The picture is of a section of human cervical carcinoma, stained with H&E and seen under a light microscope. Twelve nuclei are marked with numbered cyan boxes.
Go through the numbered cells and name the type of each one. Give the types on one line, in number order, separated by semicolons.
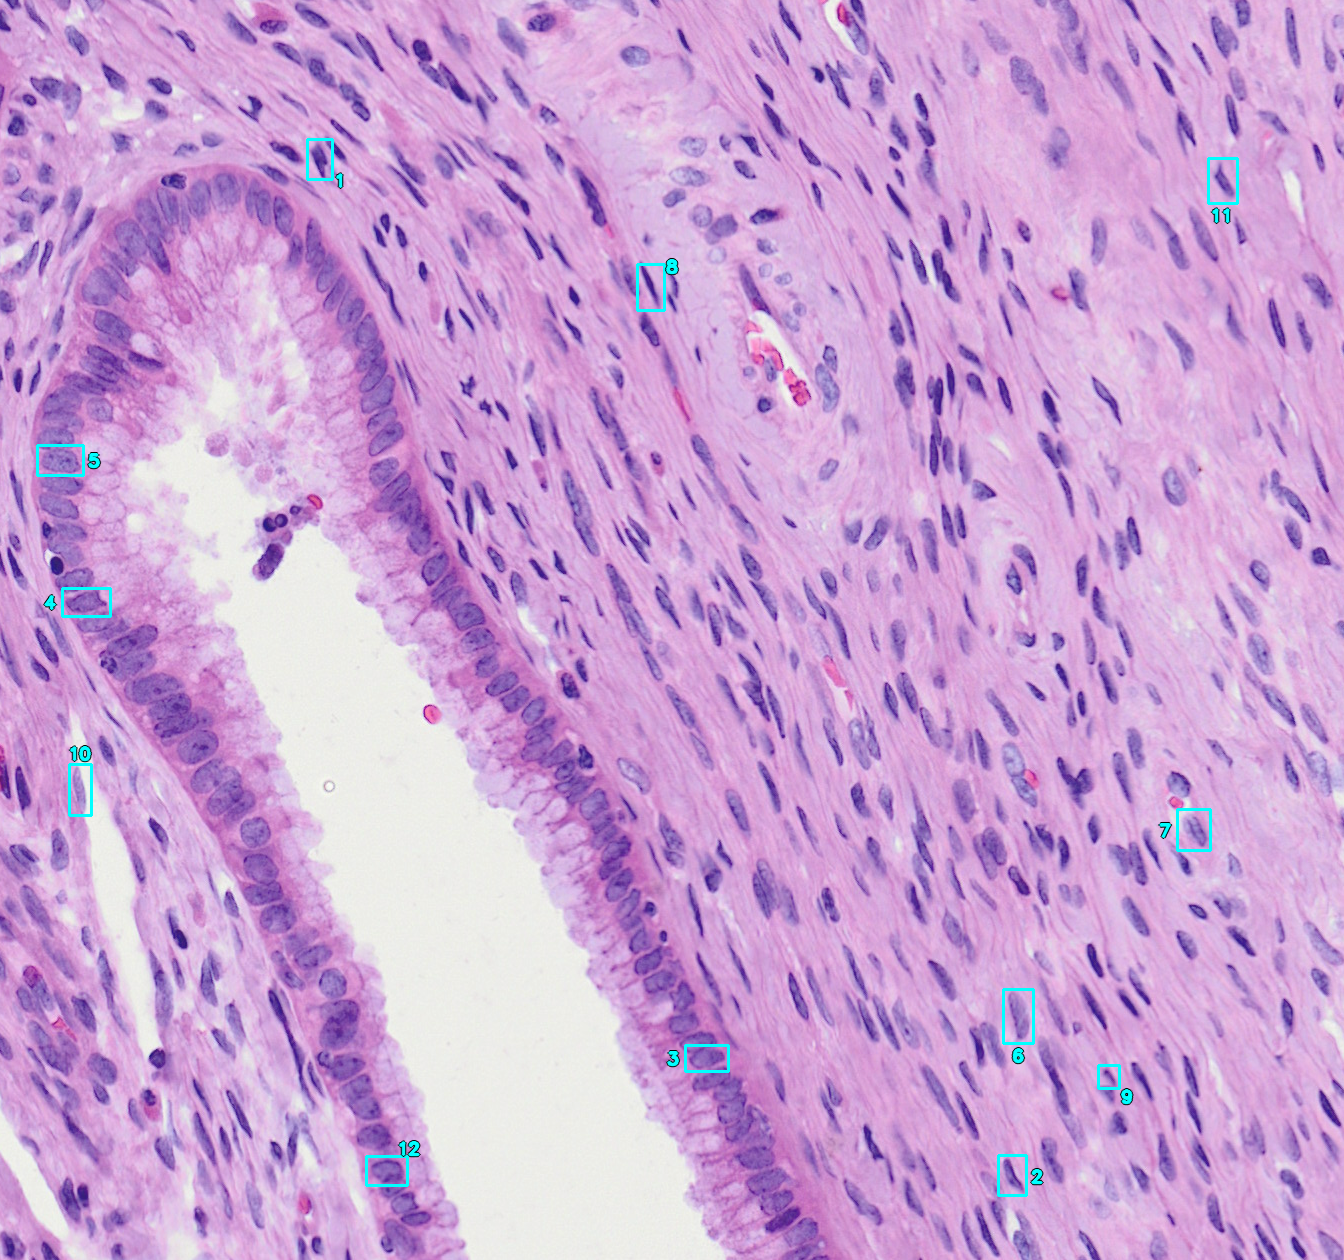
fibroblast; fibroblast; secretory epithelial cell; secretory epithelial cell; secretory epithelial cell; fibroblast; endothelial cell; fibroblast; fibroblast; endothelial cell; fibroblast; secretory epithelial cell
